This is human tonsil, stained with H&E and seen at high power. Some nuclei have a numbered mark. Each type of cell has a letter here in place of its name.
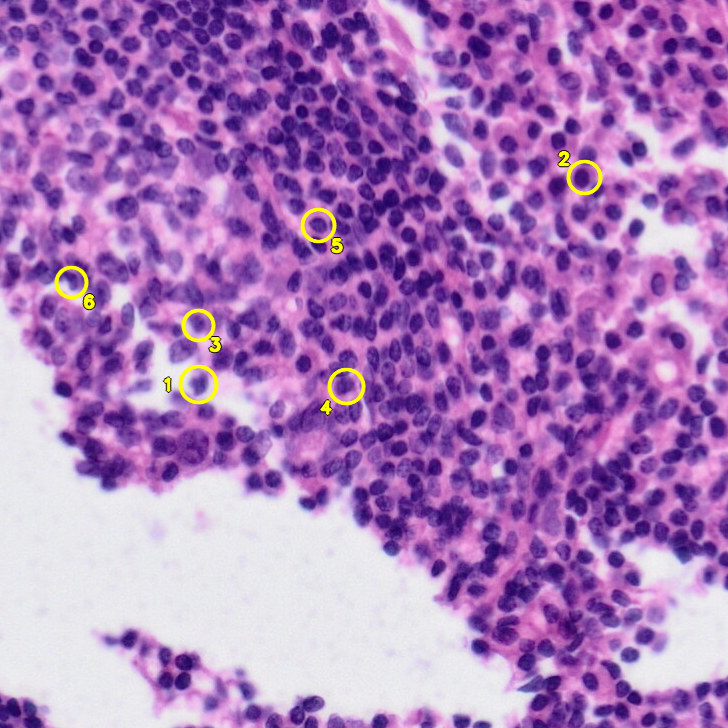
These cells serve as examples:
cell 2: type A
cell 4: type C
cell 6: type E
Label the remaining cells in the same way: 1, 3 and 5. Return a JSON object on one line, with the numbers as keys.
{"1": "type E", "3": "type E", "5": "type C"}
